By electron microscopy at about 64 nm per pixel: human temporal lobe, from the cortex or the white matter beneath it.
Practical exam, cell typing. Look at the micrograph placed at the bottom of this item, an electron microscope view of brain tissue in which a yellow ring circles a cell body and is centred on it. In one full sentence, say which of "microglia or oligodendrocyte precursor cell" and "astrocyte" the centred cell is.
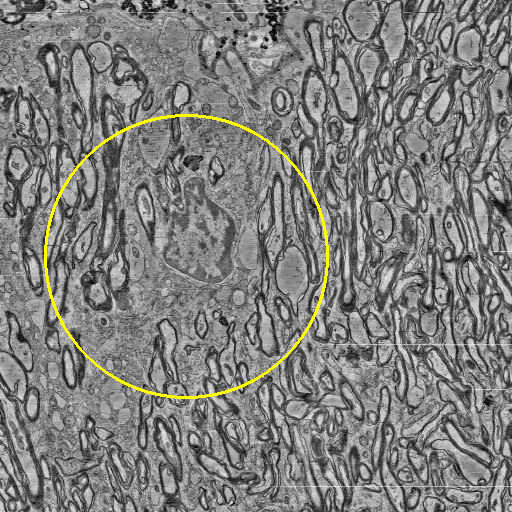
Given the options, a microglial cell or oligodendrocyte precursor cell fits the cell whose body the yellow ring is centred on.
